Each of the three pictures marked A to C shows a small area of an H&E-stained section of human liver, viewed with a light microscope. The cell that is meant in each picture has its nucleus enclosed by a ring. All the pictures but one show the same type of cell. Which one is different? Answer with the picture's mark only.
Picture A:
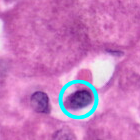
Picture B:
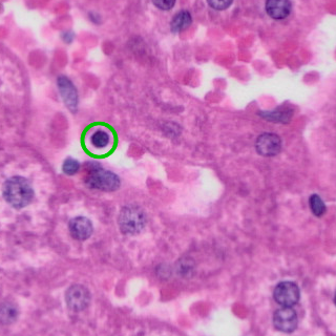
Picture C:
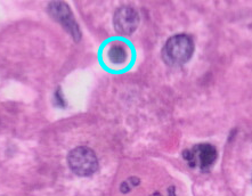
A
